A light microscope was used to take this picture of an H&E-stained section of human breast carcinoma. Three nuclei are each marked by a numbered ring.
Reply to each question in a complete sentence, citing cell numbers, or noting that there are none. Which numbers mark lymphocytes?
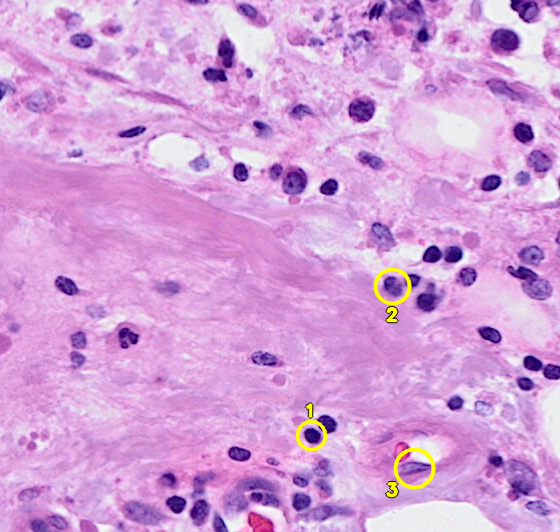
The cells with the number labels 1 and 2 are lymphocytes.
